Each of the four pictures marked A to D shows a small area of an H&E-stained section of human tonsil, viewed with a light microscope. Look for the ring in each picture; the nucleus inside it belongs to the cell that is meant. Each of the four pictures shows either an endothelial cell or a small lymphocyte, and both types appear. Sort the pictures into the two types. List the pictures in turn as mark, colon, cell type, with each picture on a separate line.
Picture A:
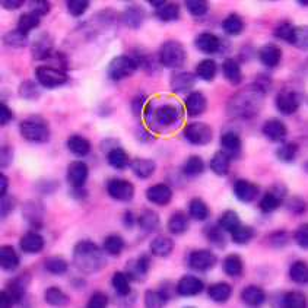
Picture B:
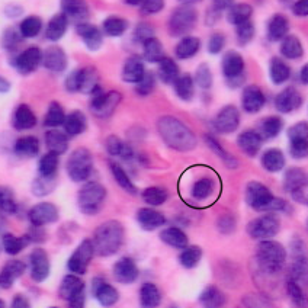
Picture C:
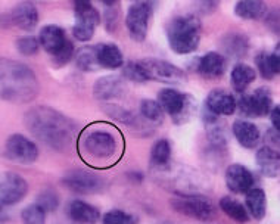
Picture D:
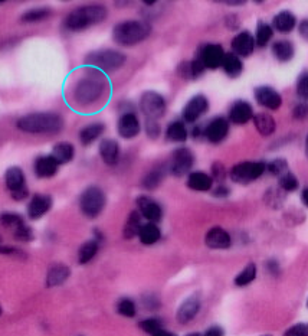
A: small lymphocyte
B: endothelial cell
C: endothelial cell
D: endothelial cell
